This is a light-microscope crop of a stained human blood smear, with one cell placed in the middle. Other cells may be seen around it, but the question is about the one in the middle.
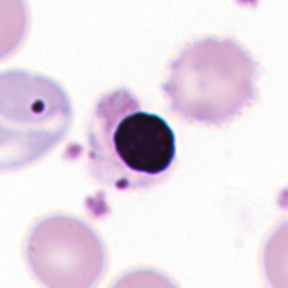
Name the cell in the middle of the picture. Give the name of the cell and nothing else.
normoblast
